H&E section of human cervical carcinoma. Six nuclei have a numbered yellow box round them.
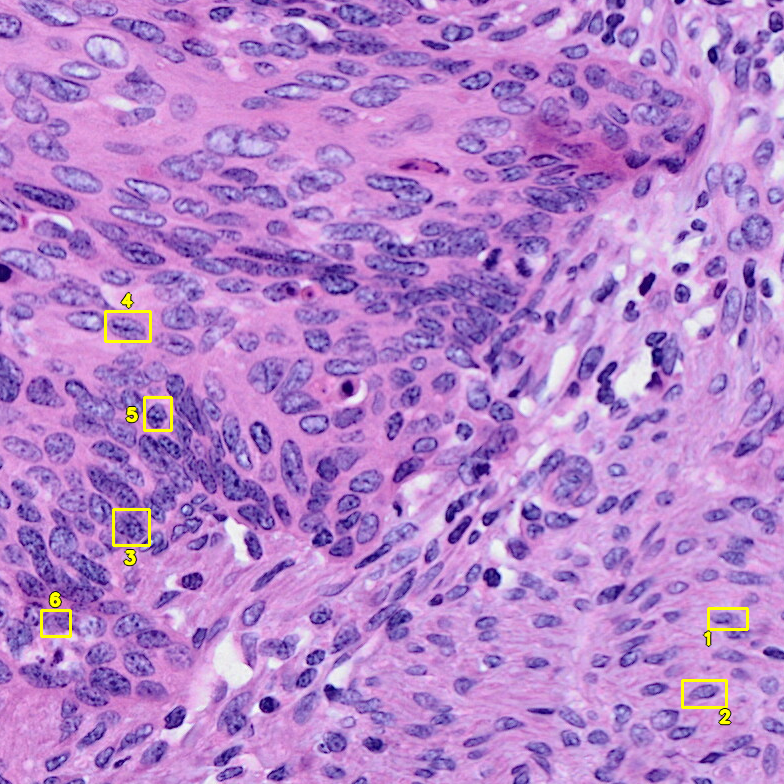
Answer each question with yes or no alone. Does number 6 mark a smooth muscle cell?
no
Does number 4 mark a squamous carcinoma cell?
yes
